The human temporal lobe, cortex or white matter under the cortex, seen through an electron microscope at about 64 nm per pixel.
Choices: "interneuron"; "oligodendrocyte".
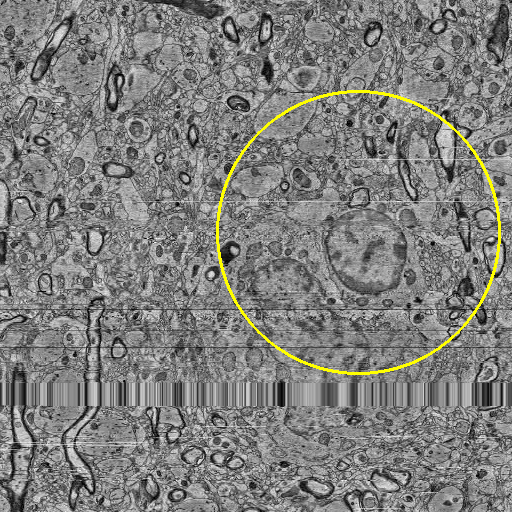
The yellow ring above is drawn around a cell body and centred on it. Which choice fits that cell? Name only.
oligodendrocyte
